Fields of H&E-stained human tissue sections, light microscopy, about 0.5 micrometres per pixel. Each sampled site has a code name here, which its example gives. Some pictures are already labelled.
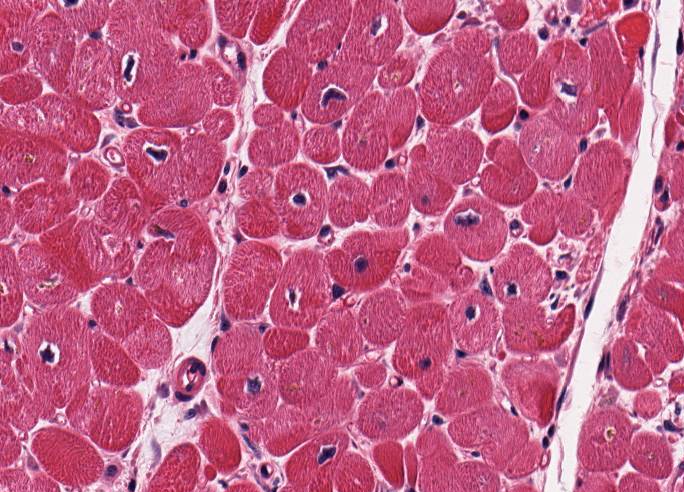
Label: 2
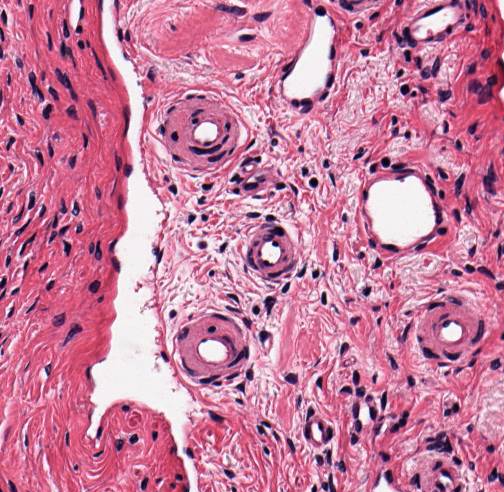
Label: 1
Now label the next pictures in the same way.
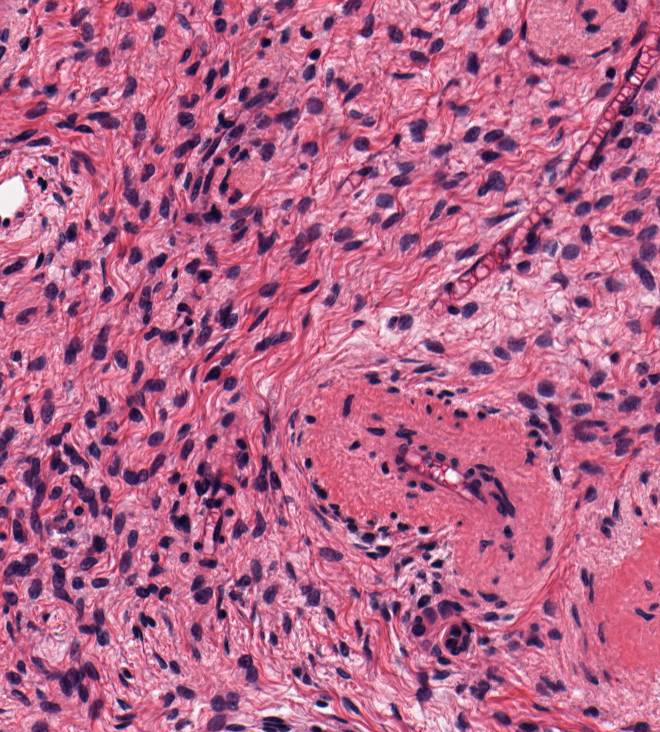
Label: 1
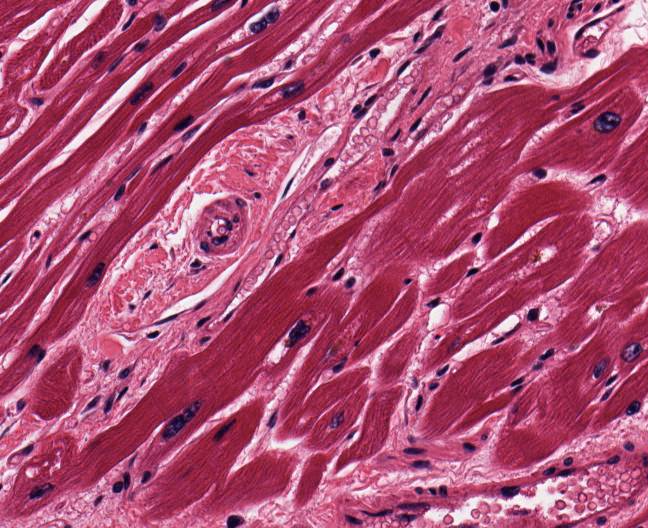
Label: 2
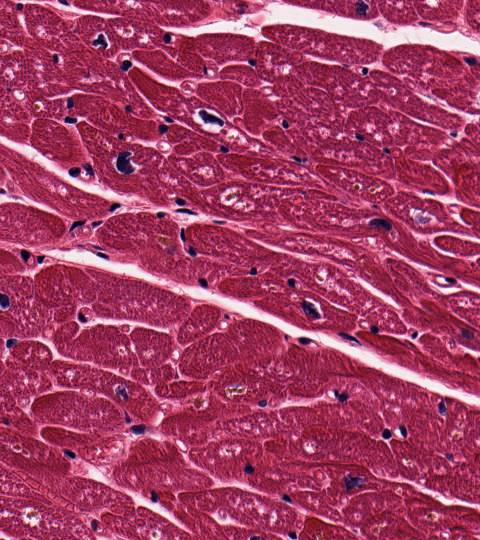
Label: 2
